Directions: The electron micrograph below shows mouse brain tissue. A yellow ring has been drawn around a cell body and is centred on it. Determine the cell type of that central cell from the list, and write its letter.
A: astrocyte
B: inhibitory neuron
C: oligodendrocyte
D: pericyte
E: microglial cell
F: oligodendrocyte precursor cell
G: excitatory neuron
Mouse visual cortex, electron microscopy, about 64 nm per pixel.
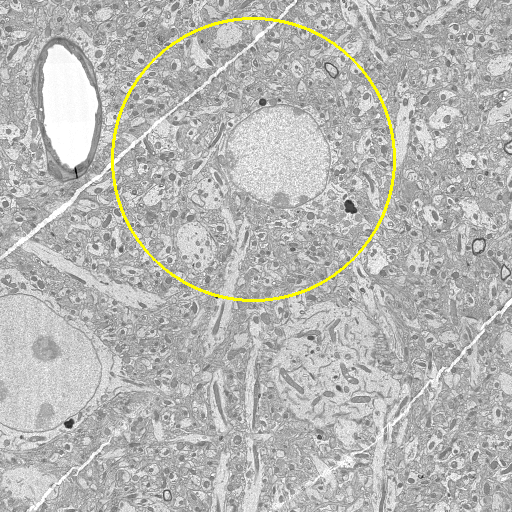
A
